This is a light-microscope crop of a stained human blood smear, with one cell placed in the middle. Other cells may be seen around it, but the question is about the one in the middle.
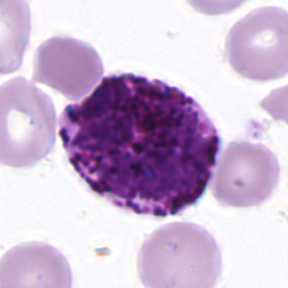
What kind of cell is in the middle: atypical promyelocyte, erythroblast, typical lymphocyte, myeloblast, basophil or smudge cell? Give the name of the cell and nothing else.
basophil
